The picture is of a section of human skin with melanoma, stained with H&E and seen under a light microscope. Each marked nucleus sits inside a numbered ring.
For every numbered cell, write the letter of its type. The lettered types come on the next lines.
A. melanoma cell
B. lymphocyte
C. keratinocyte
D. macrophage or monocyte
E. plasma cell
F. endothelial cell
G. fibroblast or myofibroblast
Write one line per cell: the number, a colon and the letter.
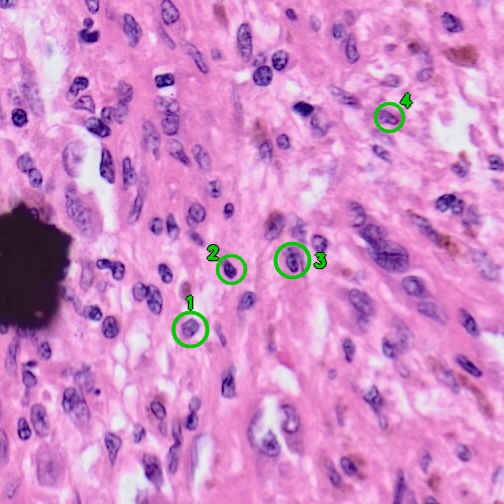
1: B
2: B
3: B
4: D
